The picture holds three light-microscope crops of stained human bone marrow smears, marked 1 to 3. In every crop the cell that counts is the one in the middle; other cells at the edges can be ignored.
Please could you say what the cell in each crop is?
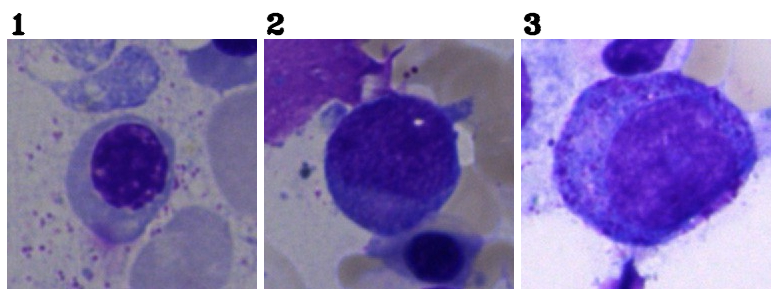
1: normoblast
2: blast
3: promyelocyte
